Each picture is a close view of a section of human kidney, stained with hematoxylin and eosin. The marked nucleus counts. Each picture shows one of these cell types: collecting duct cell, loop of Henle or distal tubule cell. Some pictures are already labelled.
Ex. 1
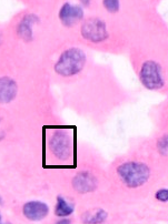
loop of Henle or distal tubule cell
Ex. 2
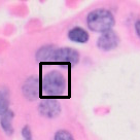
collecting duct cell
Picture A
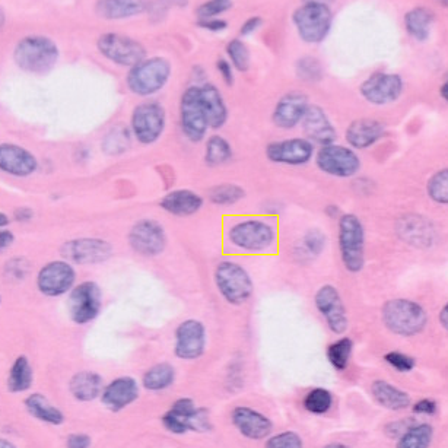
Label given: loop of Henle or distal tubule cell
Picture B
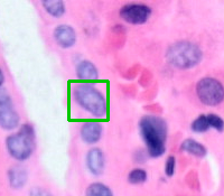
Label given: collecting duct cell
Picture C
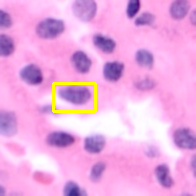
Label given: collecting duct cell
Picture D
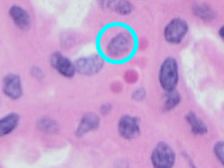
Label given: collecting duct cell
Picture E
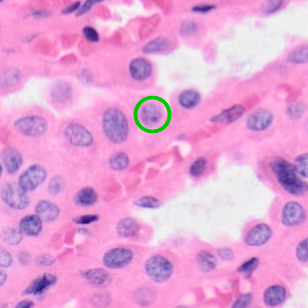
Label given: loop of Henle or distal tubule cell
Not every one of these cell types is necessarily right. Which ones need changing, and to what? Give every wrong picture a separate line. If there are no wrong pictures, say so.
A: not loop of Henle or distal tubule cell but collecting duct cell
C: not collecting duct cell but loop of Henle or distal tubule cell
